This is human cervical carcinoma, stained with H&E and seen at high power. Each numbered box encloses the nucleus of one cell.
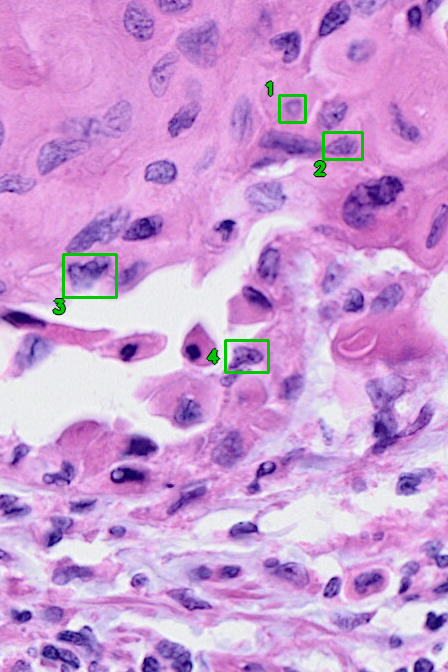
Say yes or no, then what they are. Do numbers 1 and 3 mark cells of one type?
Yes, both are squamous carcinoma cells.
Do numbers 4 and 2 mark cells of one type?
No, cell 4 is a macrophage or monocyte and cell 2 is a squamous carcinoma cell.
